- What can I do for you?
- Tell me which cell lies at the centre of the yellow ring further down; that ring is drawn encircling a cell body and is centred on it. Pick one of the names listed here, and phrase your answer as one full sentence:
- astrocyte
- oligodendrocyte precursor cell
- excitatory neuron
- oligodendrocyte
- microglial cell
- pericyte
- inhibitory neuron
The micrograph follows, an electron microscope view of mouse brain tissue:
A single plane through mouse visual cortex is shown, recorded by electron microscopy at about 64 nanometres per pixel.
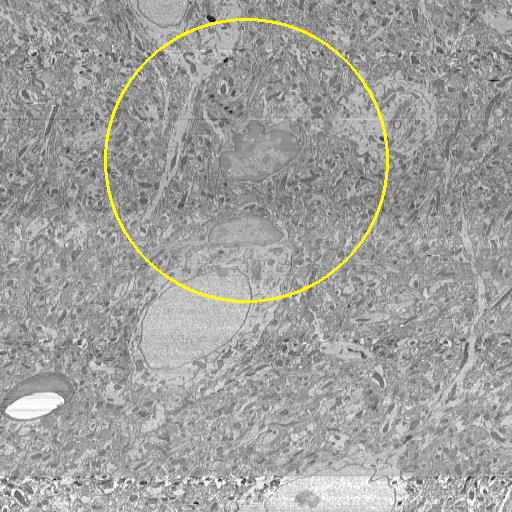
The cell whose body lies at the centre of the yellow ring is a microglial cell.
